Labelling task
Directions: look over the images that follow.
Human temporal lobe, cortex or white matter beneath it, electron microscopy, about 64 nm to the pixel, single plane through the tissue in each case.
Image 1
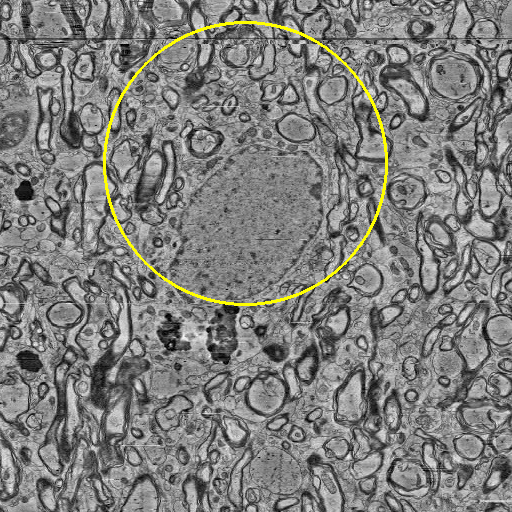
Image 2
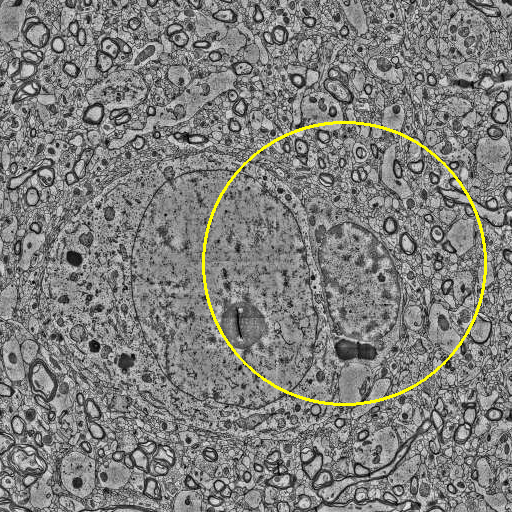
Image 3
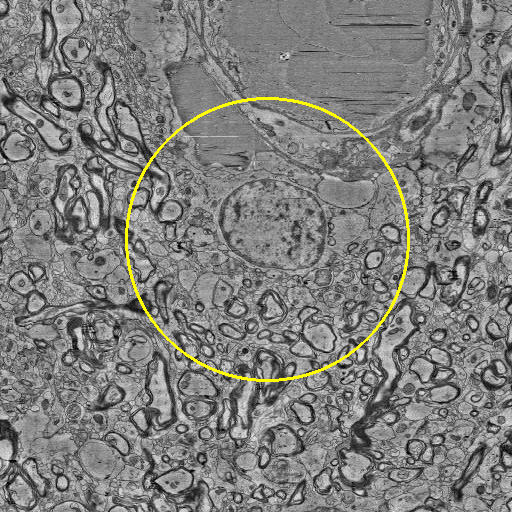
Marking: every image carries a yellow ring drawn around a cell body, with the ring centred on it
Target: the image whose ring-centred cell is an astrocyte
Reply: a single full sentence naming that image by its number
The requested cell sits at the ring's centre in Image 1.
